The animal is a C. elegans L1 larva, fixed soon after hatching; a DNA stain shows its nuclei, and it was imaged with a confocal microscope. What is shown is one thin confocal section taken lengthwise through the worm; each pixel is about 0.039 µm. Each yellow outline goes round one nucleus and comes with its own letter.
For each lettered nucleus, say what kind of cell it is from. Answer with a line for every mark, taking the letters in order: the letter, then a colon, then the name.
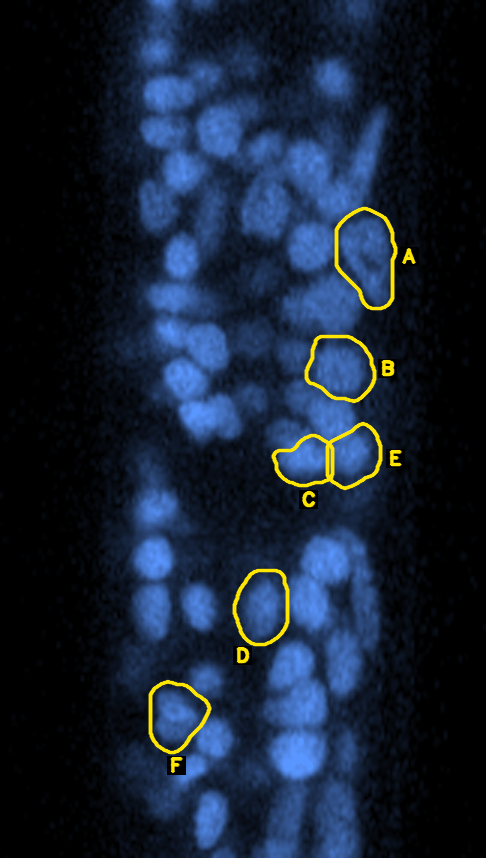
A: body wall muscle cell
B: neuron
C: GLR cell
D: neuron
E: neuron
F: pharyngeal muscle cell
